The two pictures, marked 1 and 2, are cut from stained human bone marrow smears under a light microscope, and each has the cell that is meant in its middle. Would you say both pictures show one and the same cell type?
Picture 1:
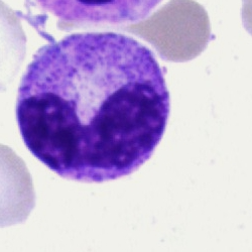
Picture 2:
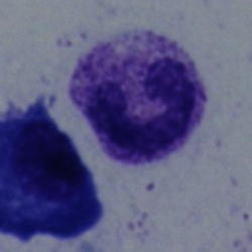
yes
